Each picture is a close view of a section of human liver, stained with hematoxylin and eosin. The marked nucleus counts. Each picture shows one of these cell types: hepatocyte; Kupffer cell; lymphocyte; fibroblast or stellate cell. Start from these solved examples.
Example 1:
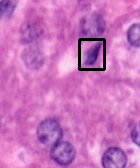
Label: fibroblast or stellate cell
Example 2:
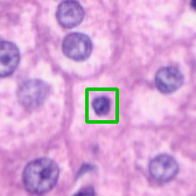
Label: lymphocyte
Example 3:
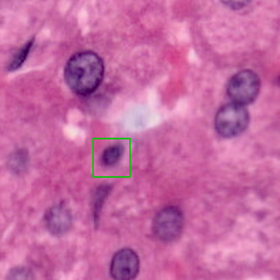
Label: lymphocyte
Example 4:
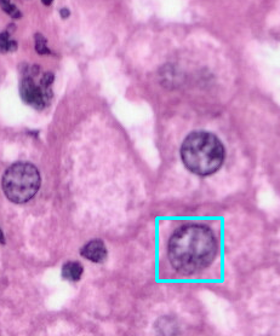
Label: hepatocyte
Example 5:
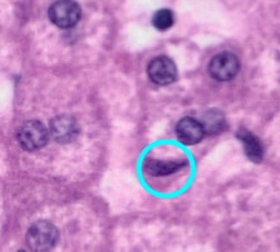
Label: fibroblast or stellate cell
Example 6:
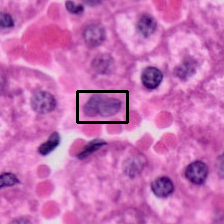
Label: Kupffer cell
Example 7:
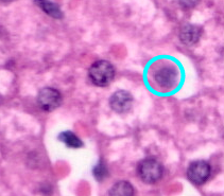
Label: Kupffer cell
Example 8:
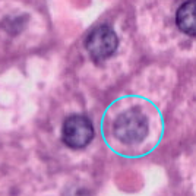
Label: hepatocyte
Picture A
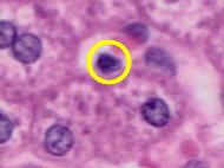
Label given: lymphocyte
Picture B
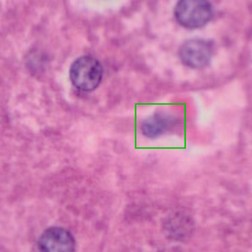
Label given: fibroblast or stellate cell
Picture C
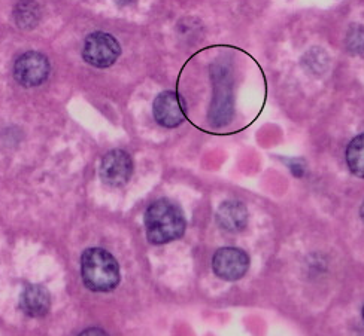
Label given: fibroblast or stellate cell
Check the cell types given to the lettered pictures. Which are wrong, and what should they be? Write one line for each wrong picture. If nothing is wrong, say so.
Wrong: B (fibroblast or stellate cell); correct: Kupffer cell
Wrong: C (fibroblast or stellate cell); correct: Kupffer cell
